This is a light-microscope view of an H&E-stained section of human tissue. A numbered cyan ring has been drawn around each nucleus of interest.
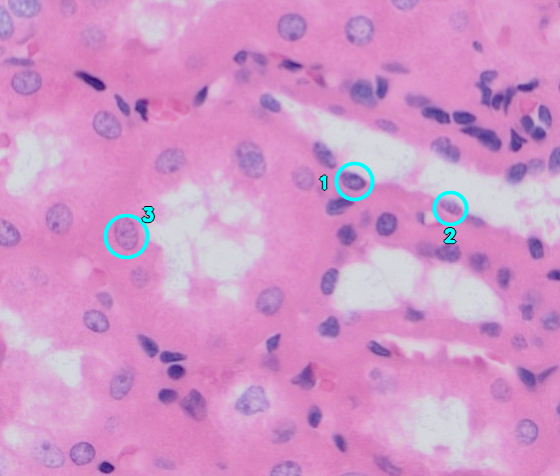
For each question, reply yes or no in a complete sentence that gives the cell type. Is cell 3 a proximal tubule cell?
Yes, the cell denoted by 3 is a proximal tubule cell.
